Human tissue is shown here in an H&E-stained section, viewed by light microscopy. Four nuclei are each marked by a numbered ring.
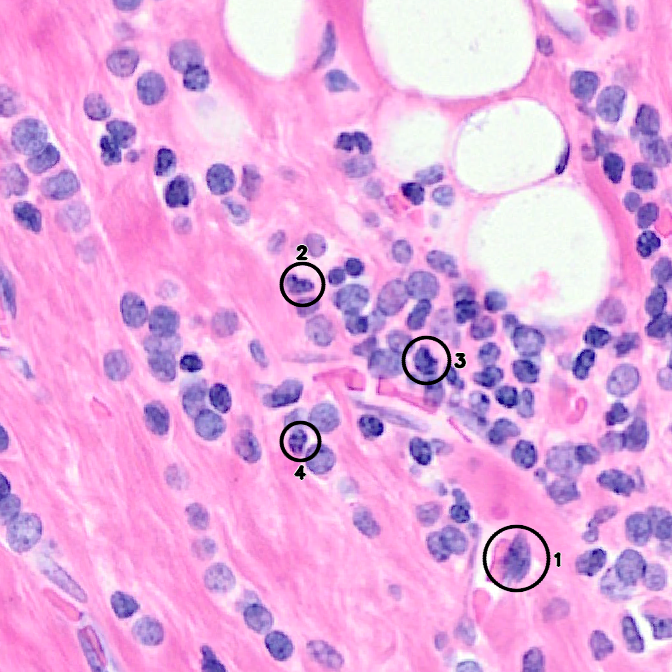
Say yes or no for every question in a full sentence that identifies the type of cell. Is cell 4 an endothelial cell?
No, cell 4 is correctly identified as a lymphocyte and not as an endothelial cell.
